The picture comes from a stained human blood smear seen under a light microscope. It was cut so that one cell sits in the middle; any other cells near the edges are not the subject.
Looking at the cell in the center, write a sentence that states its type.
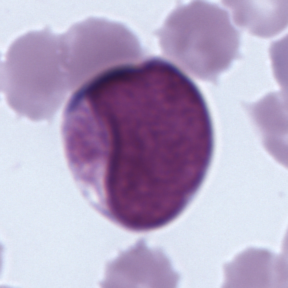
The cell centred in this crop is categorized as a myeloblast.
